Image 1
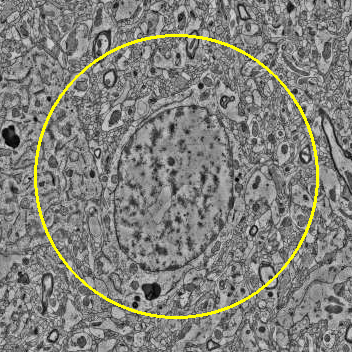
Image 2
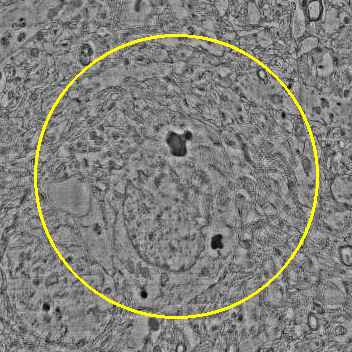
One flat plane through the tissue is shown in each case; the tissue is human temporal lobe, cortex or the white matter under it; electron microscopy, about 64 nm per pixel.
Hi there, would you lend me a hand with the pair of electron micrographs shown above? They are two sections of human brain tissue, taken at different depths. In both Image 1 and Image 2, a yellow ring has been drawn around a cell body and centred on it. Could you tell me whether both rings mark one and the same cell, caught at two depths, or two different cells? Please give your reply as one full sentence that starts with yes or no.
No, the ringed cells are two separate cells.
